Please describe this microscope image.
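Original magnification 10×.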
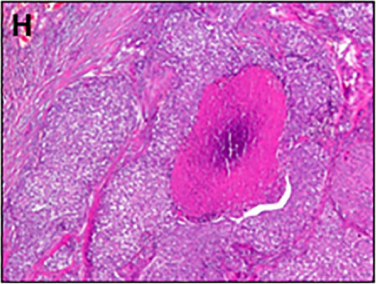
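Here we look at a carcinoma growing in large solid nests, and the eye goes at once to the centre of one nest. Further nests of the same cells lie around it, separated by thin pink fibrous bands. This central necrosis inside solid nests is the classic comedo pattern.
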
